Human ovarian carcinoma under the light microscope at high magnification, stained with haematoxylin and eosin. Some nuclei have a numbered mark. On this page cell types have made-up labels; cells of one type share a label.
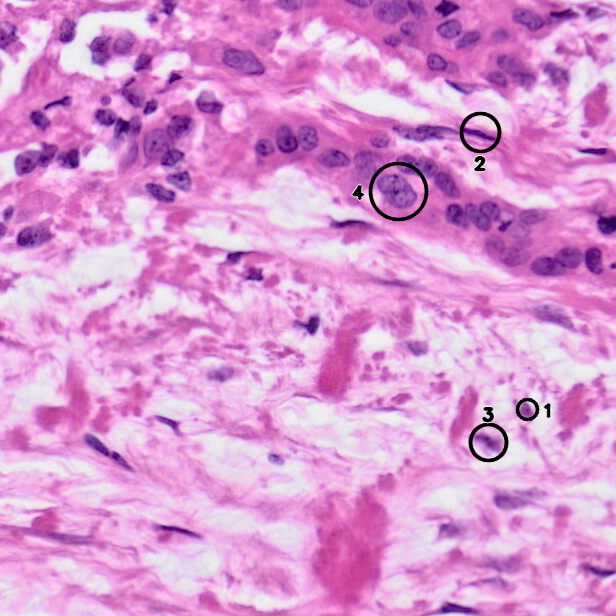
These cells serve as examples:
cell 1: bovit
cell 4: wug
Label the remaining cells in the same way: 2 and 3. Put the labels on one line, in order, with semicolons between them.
bovit; bovit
